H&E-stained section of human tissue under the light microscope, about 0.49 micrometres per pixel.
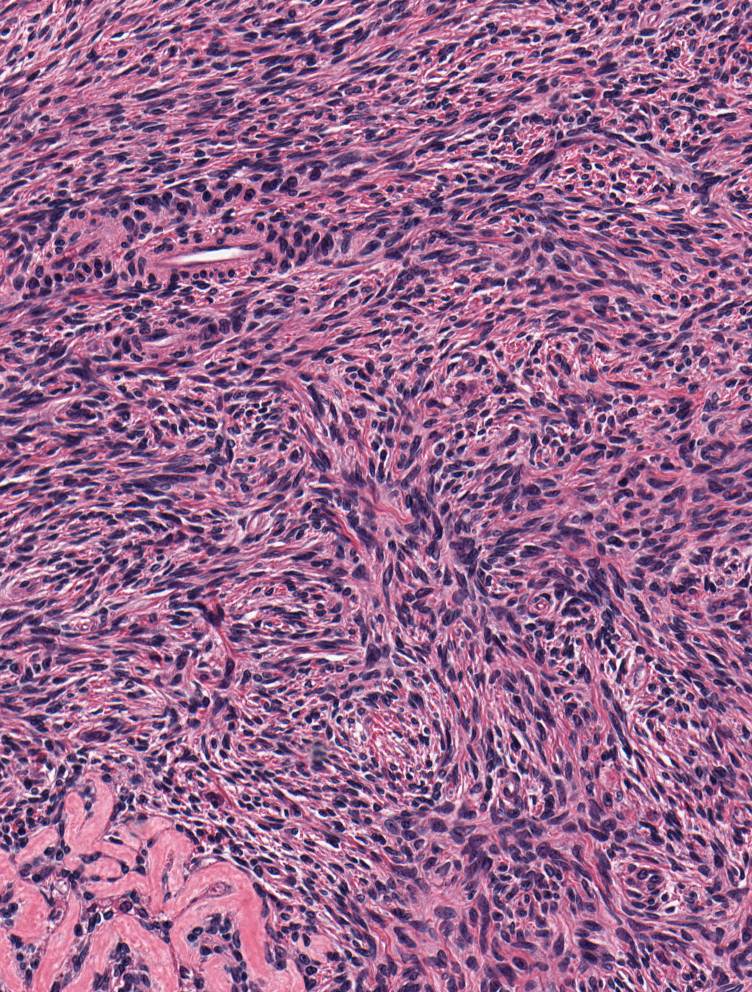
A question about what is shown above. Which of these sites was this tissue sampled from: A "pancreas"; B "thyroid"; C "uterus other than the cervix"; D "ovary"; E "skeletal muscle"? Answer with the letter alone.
D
